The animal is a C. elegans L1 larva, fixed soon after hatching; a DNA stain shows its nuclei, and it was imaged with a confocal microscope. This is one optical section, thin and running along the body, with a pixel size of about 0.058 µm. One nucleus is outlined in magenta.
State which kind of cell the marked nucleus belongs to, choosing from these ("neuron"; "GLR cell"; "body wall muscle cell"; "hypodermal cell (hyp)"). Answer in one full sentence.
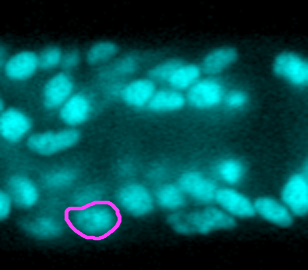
It is the nucleus of a body wall muscle cell.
